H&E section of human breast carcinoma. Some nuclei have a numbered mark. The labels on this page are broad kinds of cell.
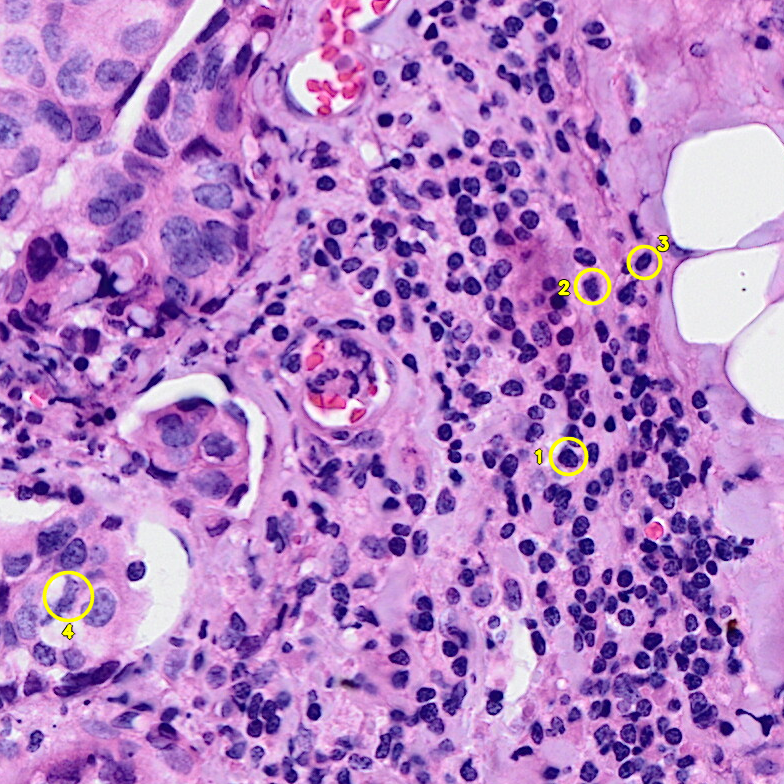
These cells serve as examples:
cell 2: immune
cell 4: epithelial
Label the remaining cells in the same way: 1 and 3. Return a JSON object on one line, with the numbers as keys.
{"1": "immune", "3": "immune"}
